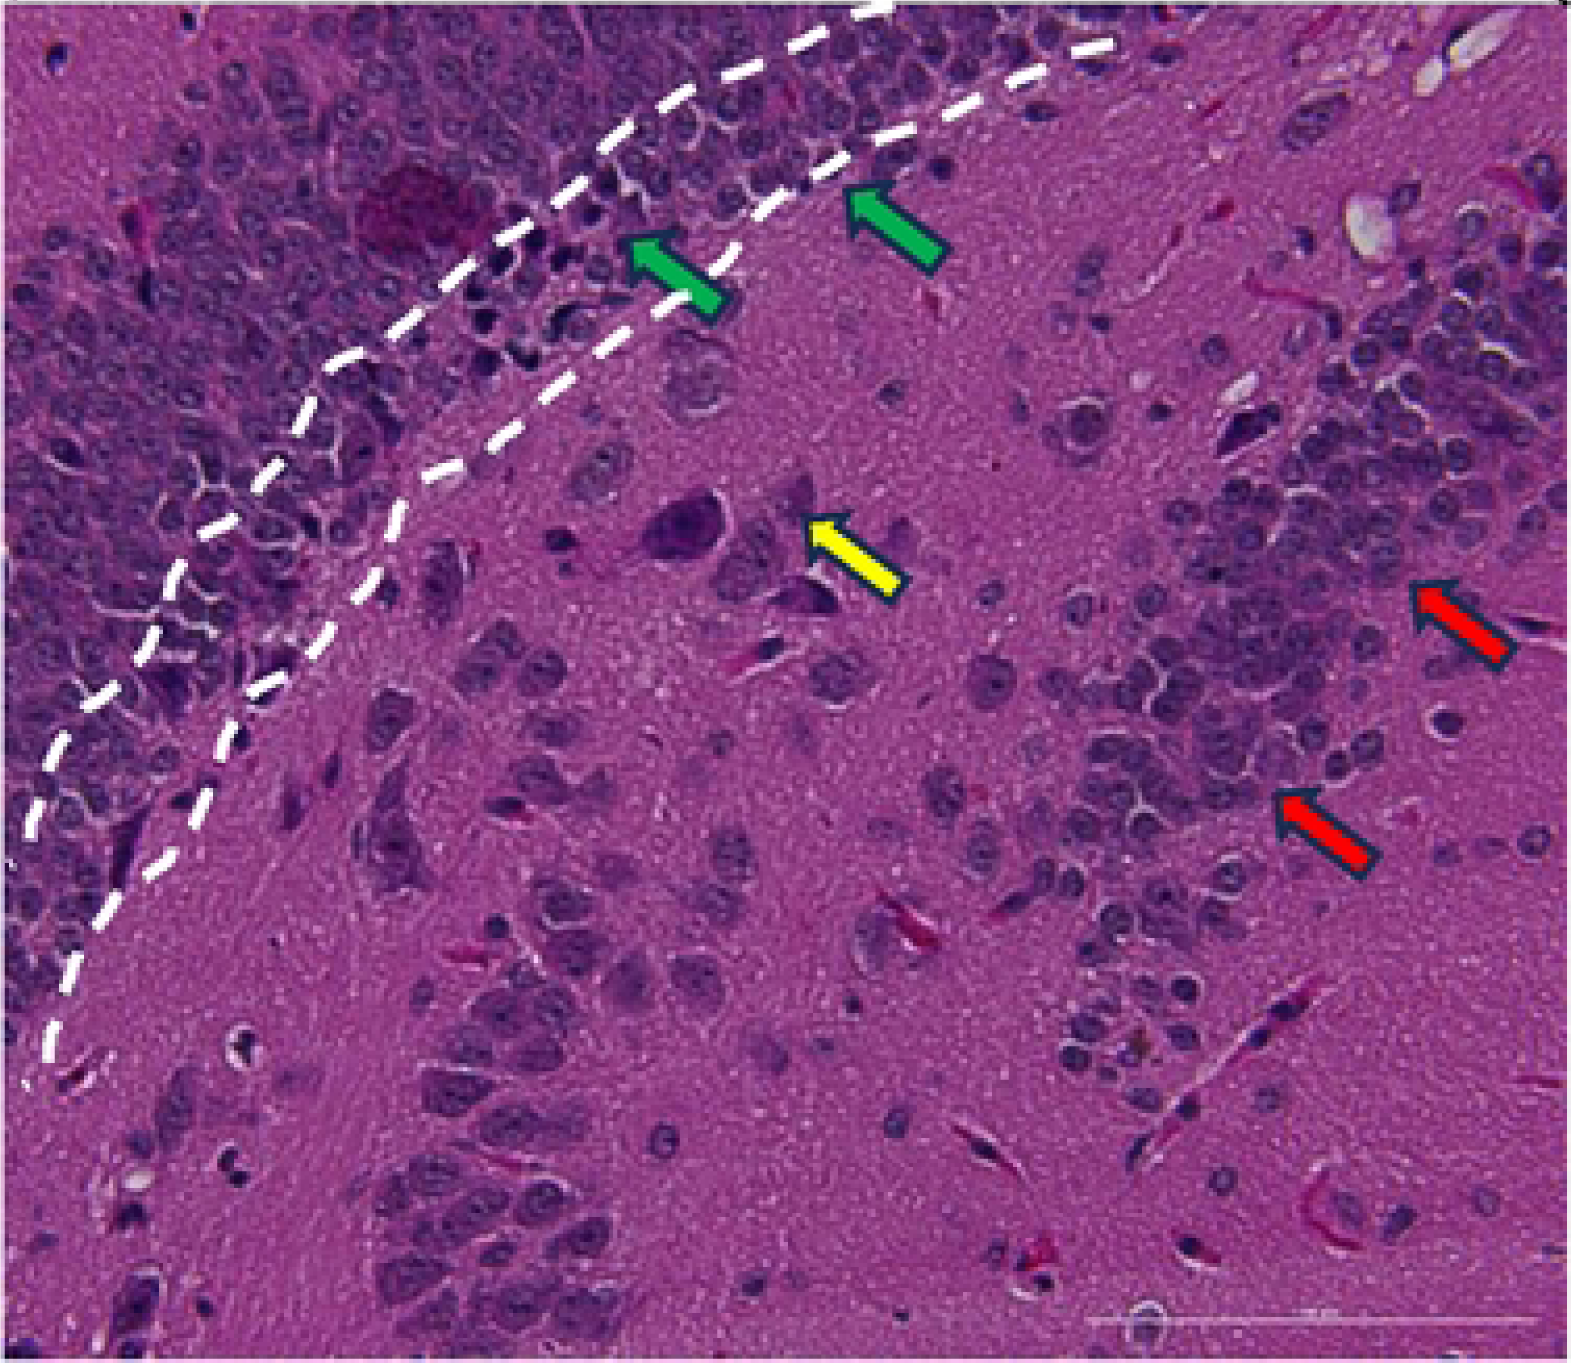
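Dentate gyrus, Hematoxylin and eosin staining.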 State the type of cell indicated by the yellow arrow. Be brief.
pyramidal neurons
